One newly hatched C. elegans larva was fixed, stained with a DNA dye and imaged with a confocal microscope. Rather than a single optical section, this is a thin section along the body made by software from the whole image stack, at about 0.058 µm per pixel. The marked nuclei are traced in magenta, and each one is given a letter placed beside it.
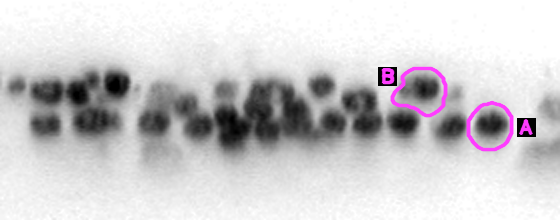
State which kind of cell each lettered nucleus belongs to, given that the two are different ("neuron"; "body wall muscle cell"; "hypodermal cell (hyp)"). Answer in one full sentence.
A belongs to a neuron and B to a body wall muscle cell.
